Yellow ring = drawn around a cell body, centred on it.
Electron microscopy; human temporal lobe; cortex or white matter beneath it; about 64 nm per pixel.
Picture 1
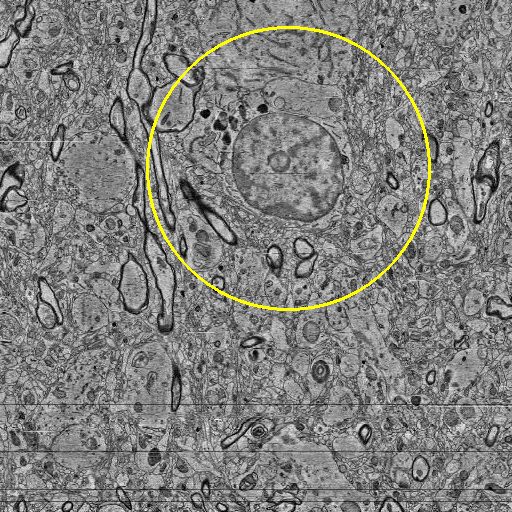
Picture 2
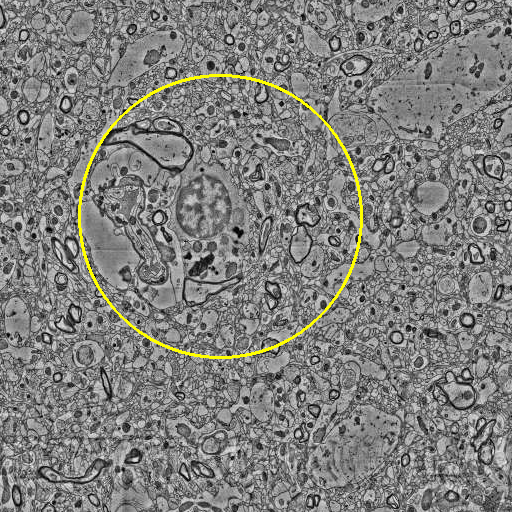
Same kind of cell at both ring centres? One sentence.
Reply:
No, they are two kinds of cell.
